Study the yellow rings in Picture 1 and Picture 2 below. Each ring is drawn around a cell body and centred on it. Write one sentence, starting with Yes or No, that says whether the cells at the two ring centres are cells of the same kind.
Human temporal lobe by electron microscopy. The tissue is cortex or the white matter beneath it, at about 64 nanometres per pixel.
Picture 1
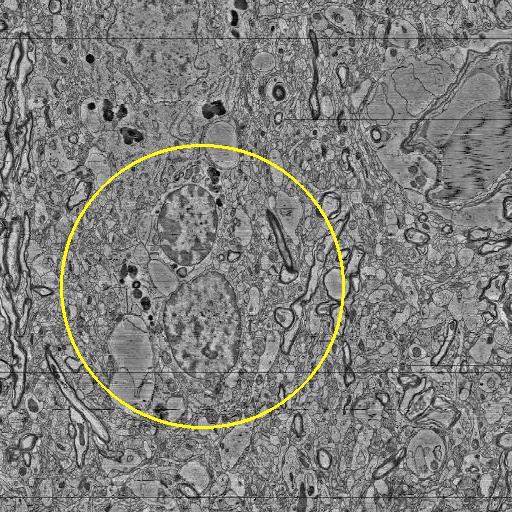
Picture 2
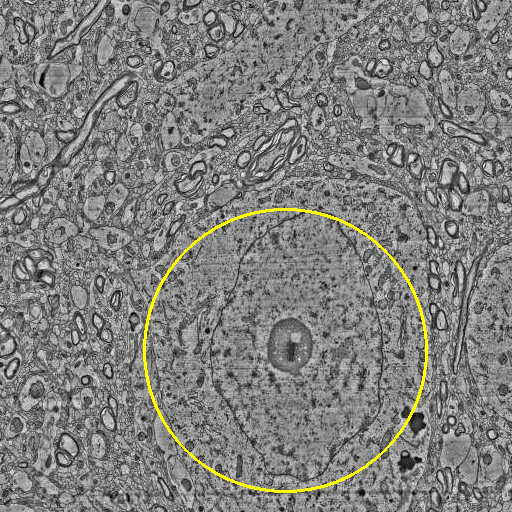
No, the cells at the ring centres are of two kinds.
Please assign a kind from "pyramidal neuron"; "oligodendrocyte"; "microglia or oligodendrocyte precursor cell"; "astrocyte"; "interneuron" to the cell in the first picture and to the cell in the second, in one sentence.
In the first picture we have an oligodendrocyte, and in the second, a pyramidal neuron.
